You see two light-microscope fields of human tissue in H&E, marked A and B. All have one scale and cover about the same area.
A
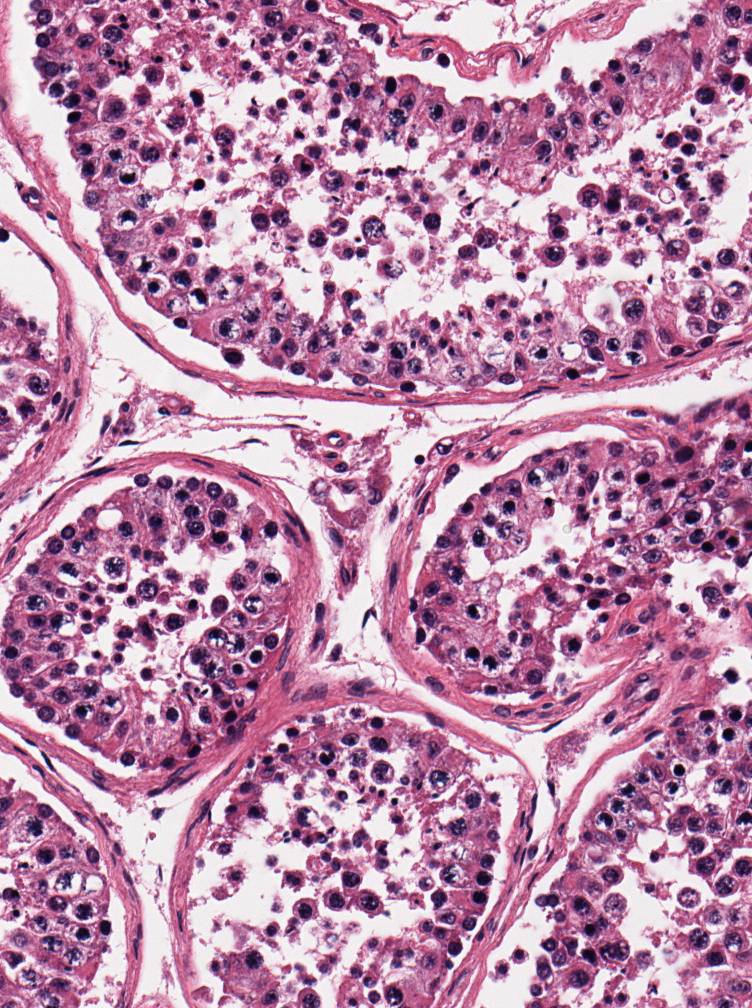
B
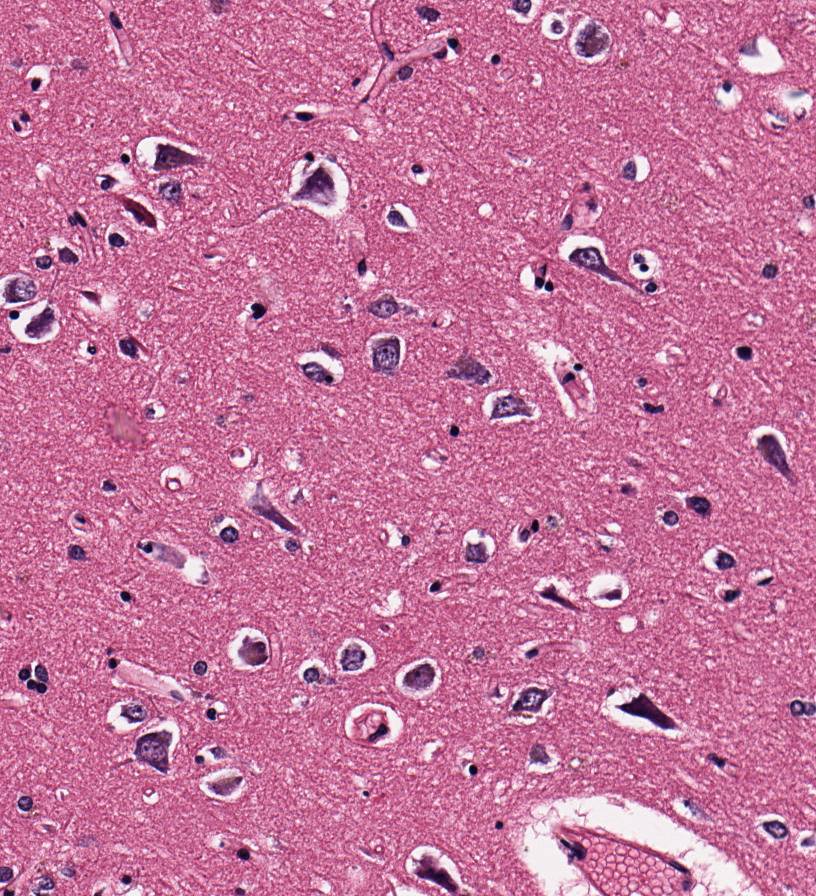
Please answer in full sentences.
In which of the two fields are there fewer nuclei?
Picture B holds fewer nuclei than picture A.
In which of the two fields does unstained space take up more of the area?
Unstained space takes up more of picture A than of picture B.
